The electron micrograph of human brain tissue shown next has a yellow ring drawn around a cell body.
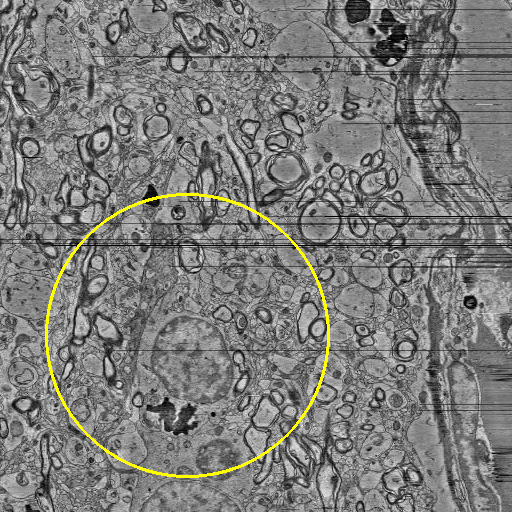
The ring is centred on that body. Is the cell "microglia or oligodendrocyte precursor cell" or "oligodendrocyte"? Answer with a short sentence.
The cell in question is an oligodendrocyte.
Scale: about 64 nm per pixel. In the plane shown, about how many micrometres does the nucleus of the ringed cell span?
The nucleus is approximately 6 micrometers long by 5 micrometers wide in this plane.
